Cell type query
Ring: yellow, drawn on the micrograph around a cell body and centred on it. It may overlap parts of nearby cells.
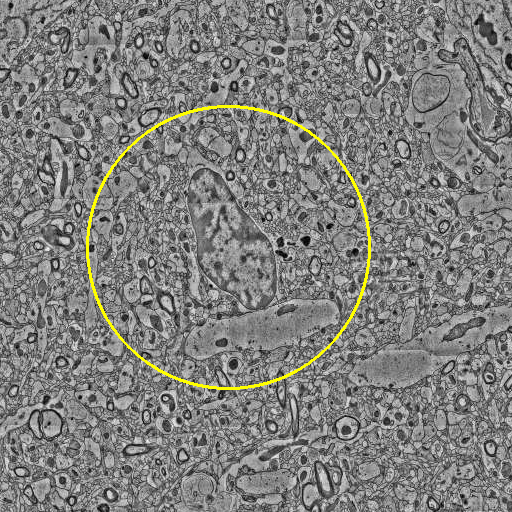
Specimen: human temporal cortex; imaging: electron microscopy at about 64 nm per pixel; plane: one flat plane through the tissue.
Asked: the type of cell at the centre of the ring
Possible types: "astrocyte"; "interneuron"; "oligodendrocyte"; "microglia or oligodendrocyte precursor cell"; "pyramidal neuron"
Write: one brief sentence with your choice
The ring marks a microglial cell or oligodendrocyte precursor cell.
